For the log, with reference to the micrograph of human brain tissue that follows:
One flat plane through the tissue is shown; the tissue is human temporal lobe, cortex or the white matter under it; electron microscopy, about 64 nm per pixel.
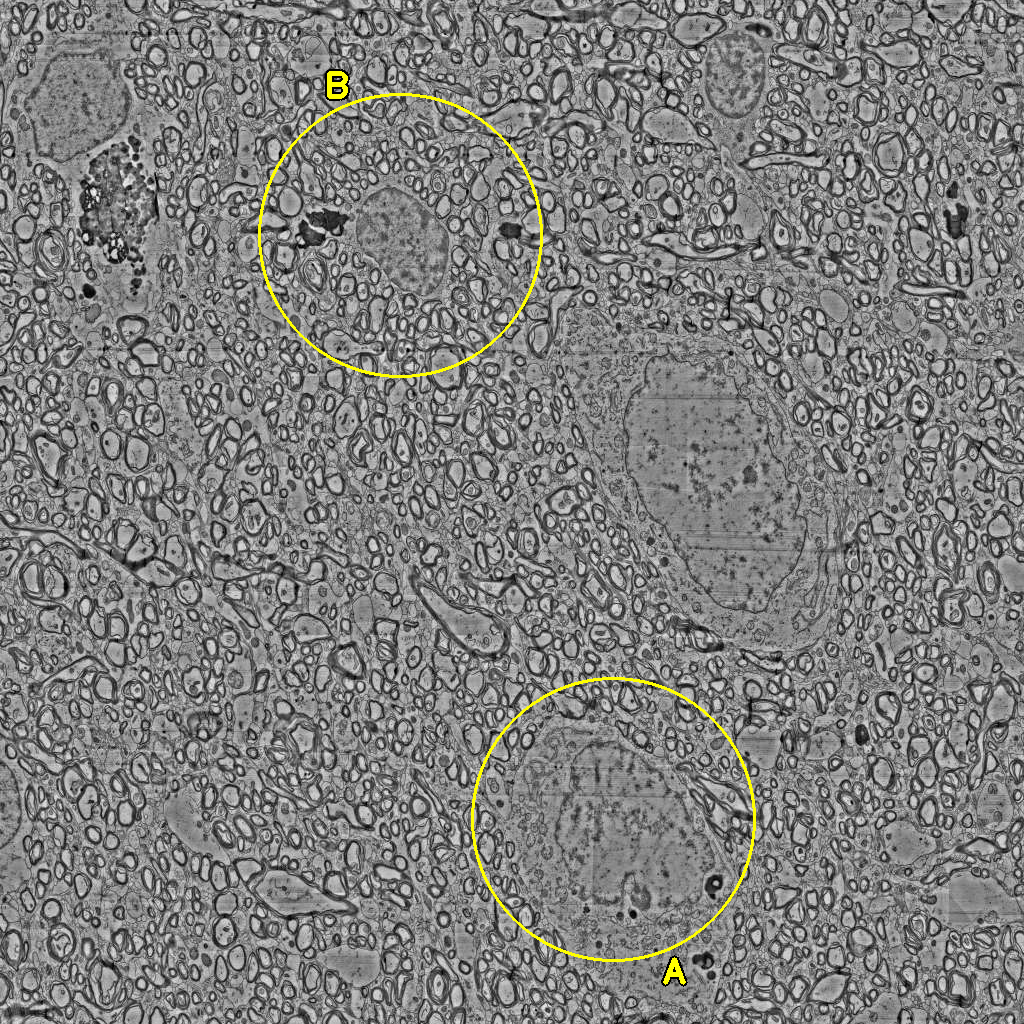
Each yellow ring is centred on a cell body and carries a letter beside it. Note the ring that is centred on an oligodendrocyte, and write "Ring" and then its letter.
Ring B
